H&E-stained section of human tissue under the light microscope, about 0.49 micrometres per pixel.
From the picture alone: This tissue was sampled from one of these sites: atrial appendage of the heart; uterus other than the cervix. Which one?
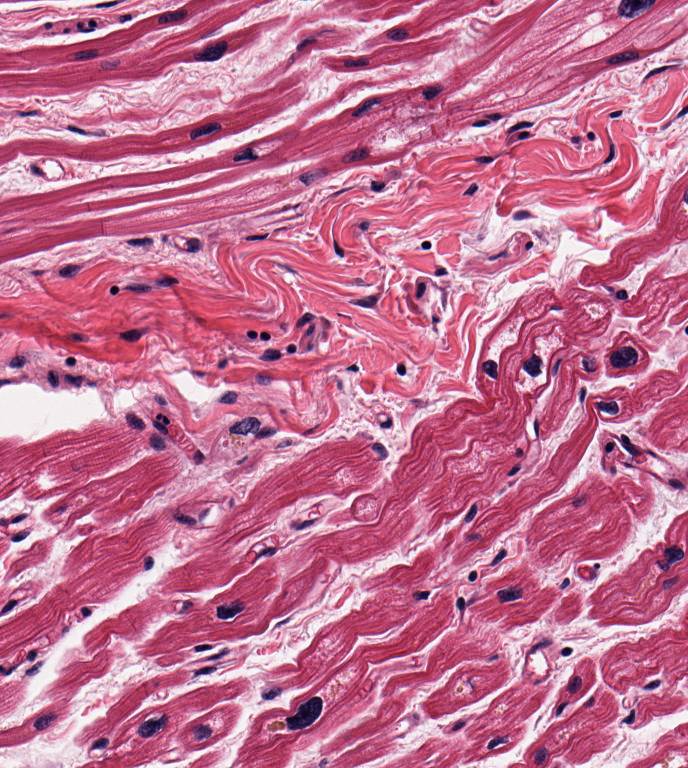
atrial appendage of the heart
